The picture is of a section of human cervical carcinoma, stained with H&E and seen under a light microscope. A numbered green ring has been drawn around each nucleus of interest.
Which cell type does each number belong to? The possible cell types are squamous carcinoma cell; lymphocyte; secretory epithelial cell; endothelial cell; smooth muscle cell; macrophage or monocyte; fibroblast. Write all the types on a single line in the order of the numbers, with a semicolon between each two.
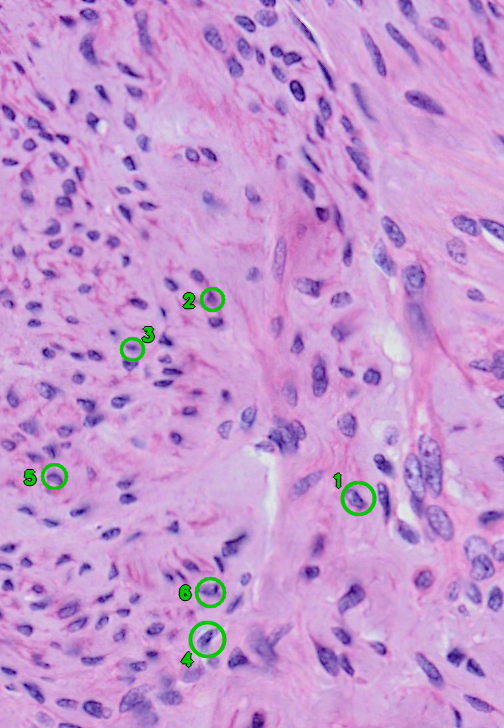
smooth muscle cell; smooth muscle cell; smooth muscle cell; fibroblast; smooth muscle cell; fibroblast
